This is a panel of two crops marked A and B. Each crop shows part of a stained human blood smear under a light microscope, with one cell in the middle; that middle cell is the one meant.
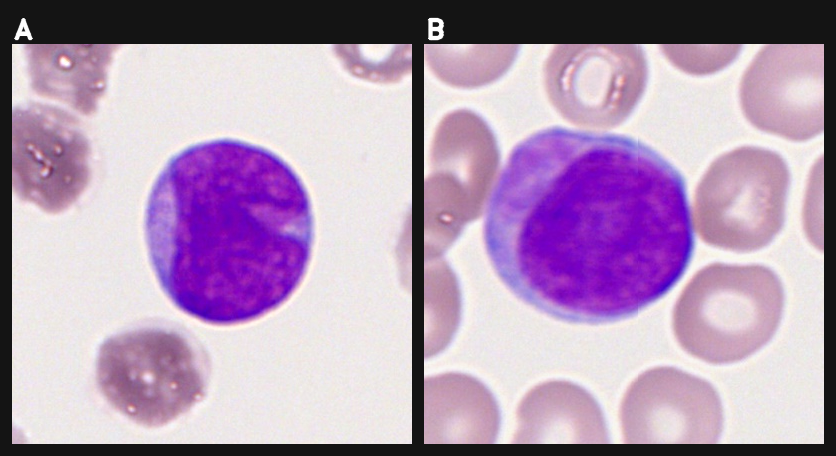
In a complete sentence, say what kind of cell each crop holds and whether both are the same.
Yes, in the middle of both crops, myeloblasts are shown.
